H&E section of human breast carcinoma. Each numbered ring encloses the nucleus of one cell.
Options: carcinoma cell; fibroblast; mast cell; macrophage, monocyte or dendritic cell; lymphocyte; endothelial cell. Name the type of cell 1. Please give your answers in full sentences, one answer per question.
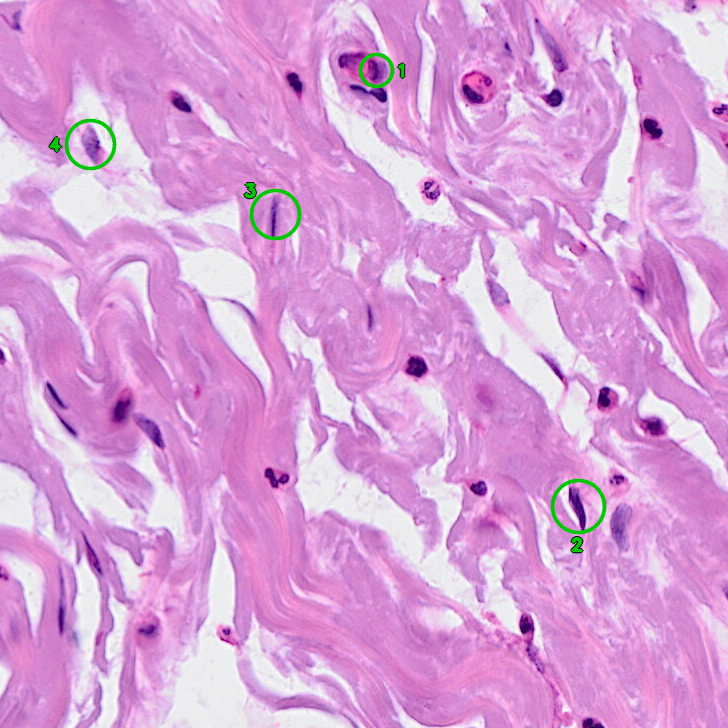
The cell to which the number 1 is assigned is an endothelial cell.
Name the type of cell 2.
The nucleus labelled 2 belongs to a fibroblast.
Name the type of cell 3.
The cell pointed out by number 3 is a fibroblast.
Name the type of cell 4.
The cell pointed out as number 4 is a fibroblast.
